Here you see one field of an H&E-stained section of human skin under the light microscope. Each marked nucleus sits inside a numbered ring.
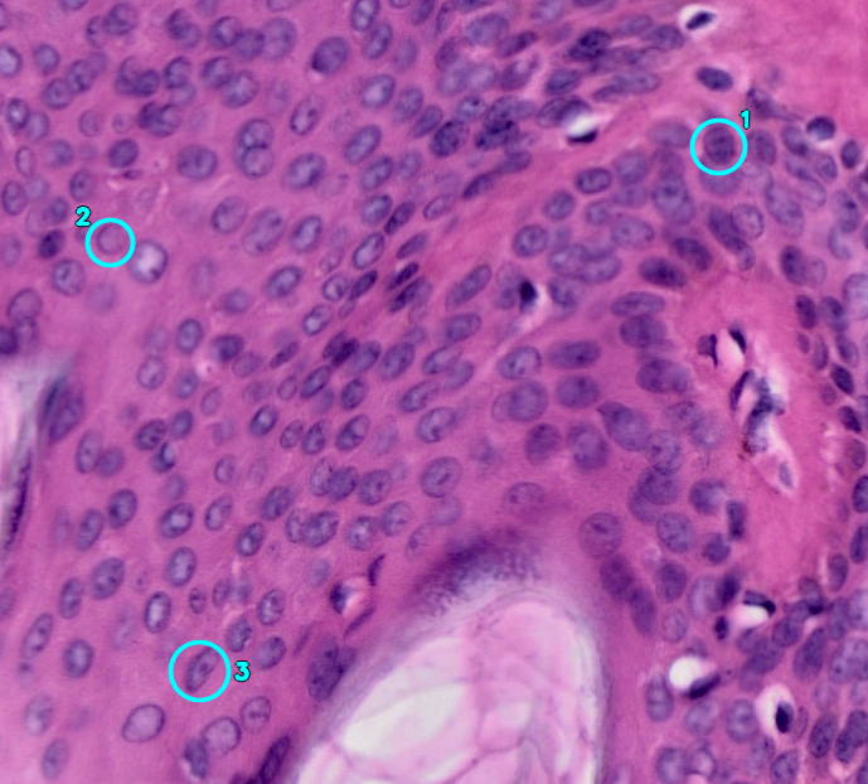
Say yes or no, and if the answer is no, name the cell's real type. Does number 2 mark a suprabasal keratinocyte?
Yes.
